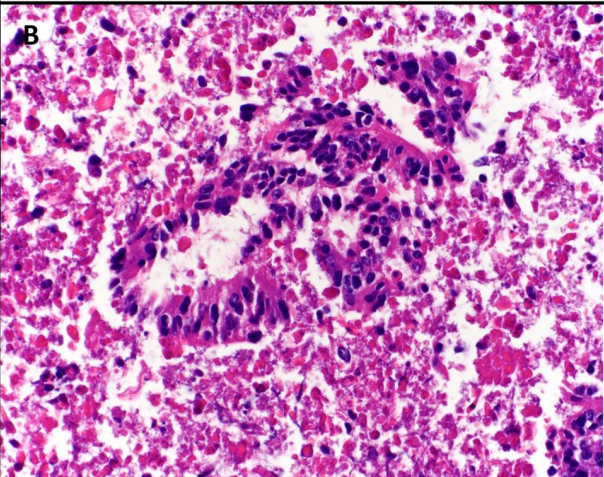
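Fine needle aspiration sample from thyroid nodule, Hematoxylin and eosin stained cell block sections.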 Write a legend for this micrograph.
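Malignant columnar cells line gland-like formations, with elongated, crowded, dark purple nuclei stacked along the rims of central spaces. The cell groups lie in a background of pink granular necrotic debris.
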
